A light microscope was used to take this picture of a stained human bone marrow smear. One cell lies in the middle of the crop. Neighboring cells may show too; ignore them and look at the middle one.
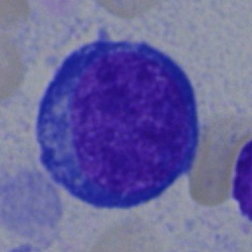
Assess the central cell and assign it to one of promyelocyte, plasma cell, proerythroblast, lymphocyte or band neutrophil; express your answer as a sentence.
The middle of this crop is occupied by a proerythroblast.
